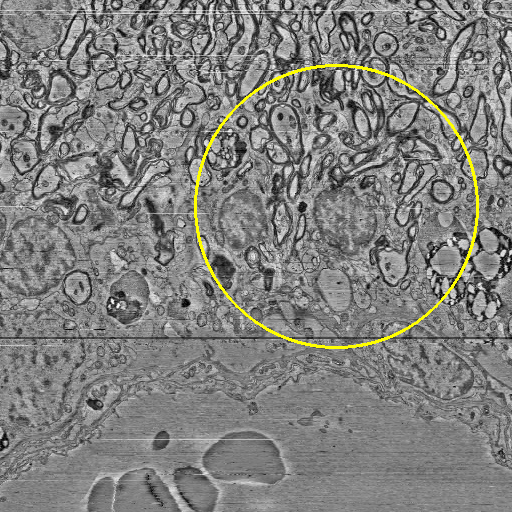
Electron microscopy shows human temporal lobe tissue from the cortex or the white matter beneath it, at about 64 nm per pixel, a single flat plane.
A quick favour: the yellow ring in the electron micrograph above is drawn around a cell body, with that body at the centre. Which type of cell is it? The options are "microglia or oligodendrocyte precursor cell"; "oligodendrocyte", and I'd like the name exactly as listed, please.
oligodendrocyte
